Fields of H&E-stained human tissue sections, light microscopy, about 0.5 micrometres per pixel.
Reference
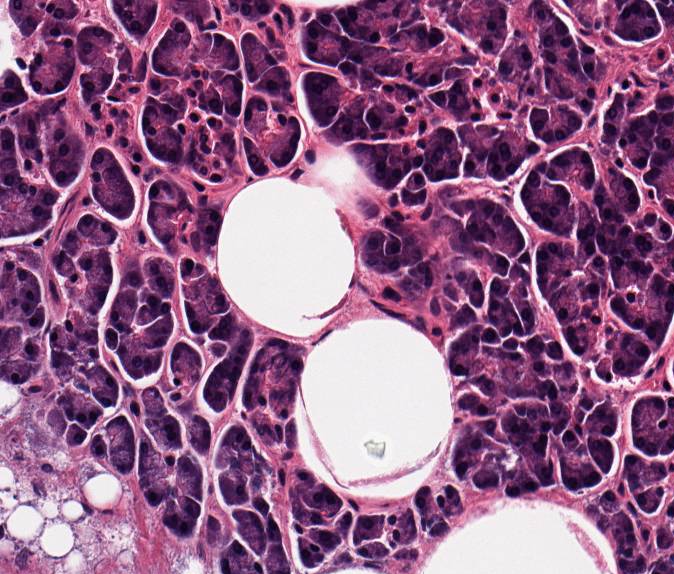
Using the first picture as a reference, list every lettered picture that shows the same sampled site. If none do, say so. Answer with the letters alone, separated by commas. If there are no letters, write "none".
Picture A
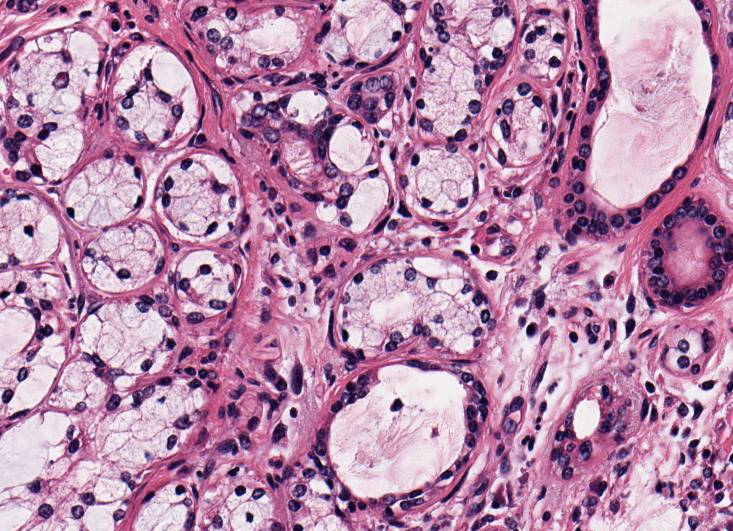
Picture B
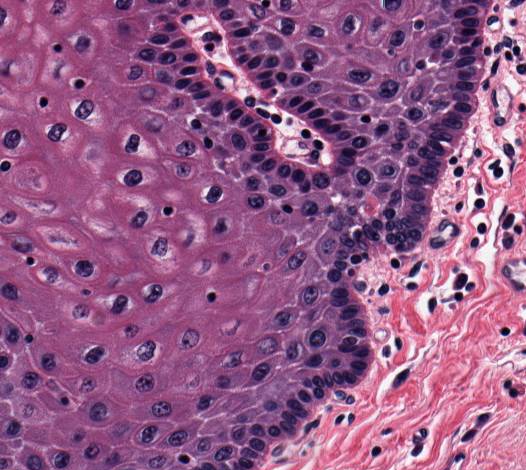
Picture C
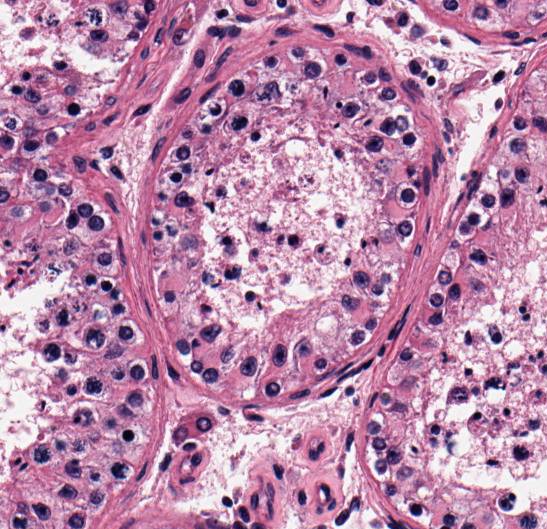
none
